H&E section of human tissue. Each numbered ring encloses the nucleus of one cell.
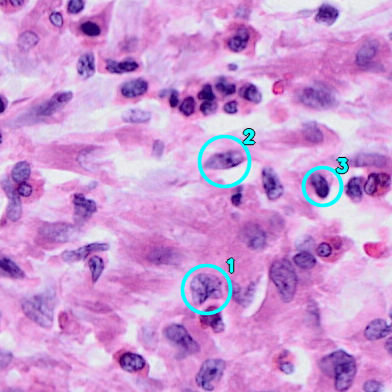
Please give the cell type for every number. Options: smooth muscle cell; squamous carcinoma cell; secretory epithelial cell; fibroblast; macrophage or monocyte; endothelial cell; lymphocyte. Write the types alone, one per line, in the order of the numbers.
macrophage or monocyte
macrophage or monocyte
lymphocyte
